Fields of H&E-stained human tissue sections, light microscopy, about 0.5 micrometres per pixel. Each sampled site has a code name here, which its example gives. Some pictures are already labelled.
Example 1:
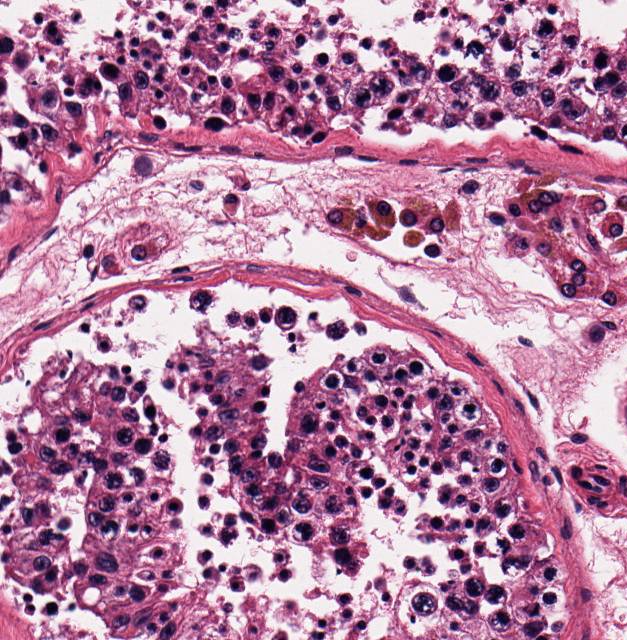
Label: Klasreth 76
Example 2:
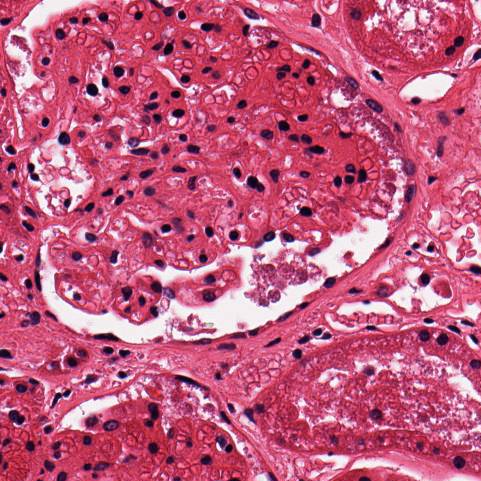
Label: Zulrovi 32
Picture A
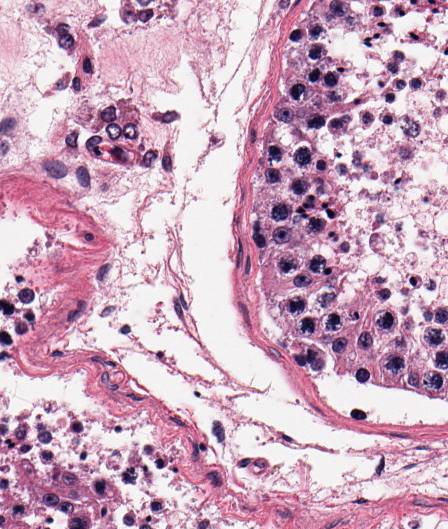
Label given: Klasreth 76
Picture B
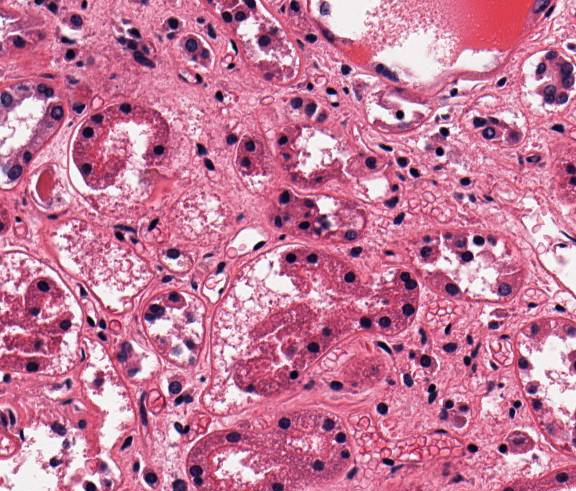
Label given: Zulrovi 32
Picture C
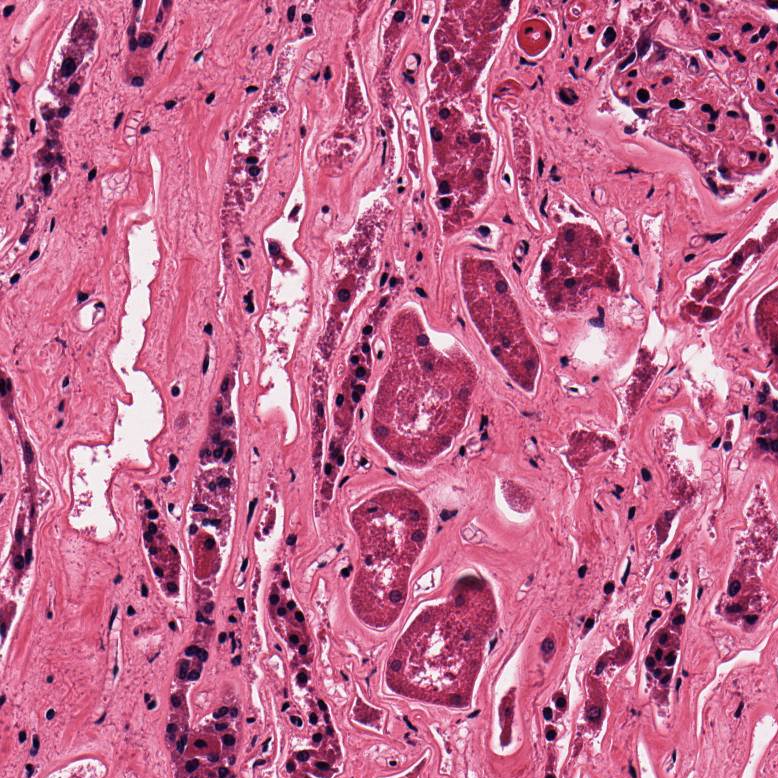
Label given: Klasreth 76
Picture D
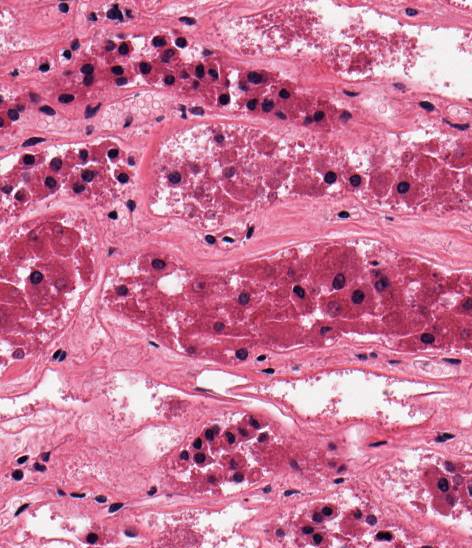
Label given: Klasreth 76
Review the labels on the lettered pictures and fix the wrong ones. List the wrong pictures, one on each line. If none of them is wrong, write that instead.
C: Zulrovi 32, not Klasreth 76
D: Zulrovi 32, not Klasreth 76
